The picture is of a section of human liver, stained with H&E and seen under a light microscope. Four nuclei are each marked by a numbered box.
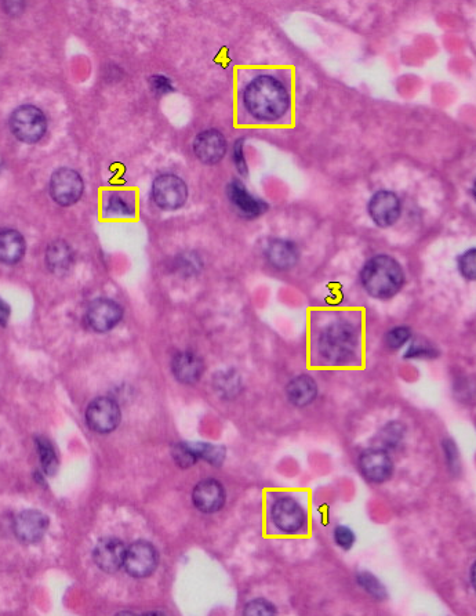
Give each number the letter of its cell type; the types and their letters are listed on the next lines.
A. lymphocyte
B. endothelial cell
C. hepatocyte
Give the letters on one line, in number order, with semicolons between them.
C; B; C; C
